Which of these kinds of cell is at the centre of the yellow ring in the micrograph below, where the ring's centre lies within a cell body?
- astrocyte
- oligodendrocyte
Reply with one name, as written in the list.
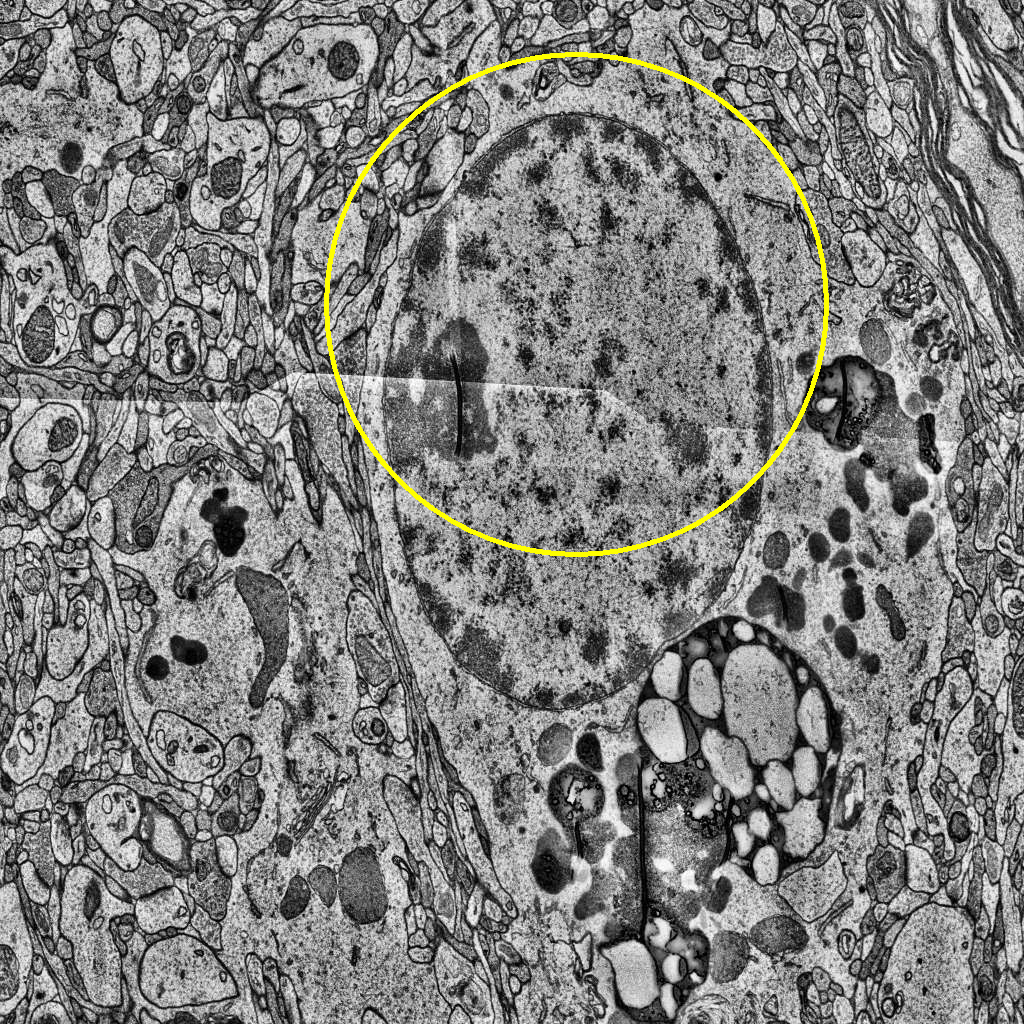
astrocyte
